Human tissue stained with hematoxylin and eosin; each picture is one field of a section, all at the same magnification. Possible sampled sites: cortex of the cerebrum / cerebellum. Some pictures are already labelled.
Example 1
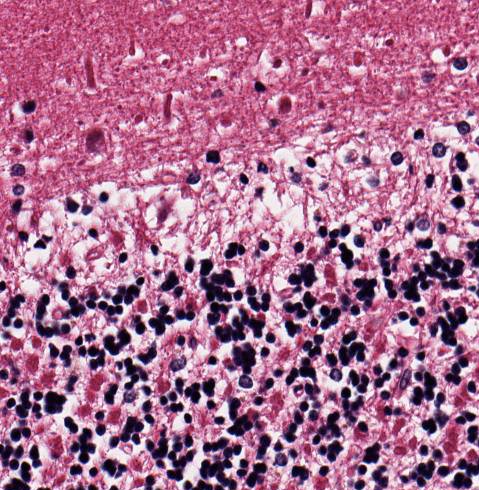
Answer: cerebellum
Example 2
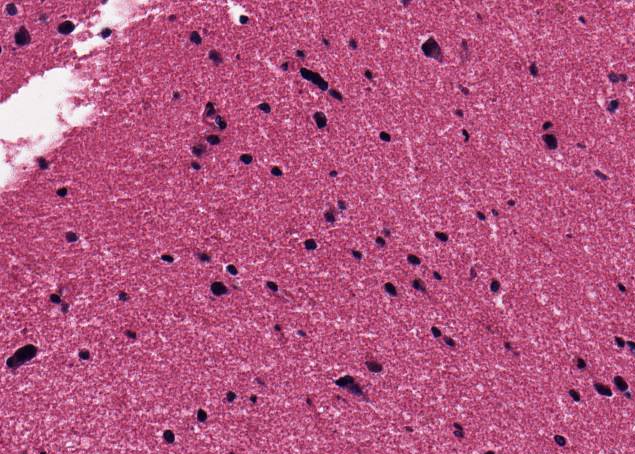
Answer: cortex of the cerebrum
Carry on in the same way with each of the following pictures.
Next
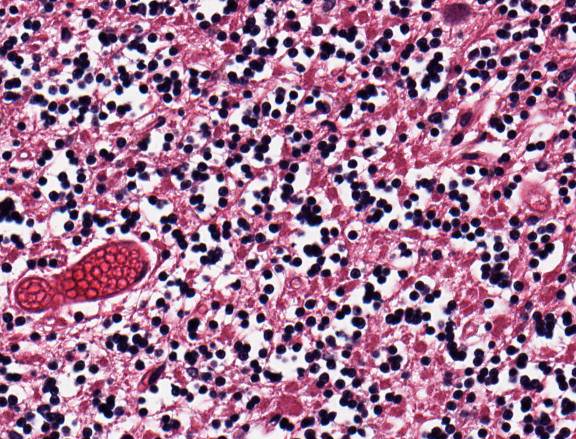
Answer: cerebellum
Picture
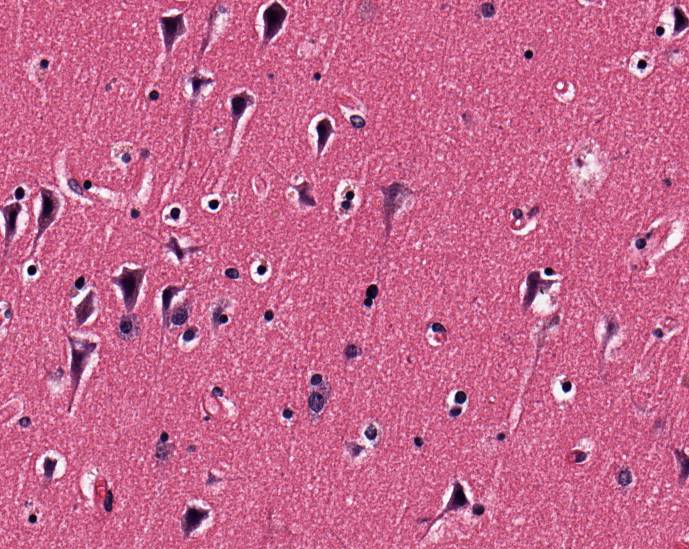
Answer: cortex of the cerebrum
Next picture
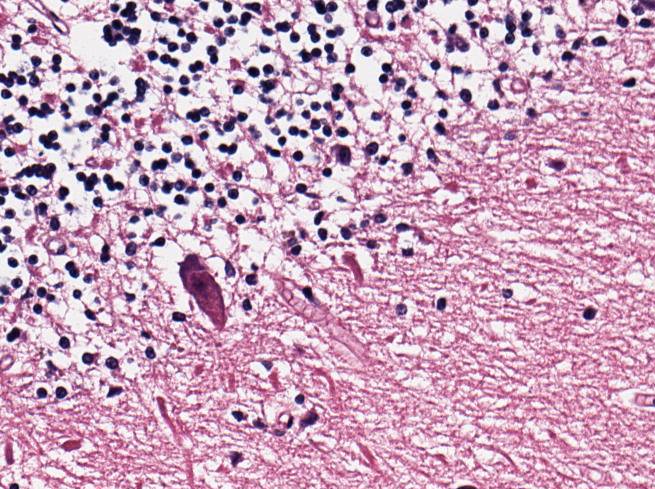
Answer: cerebellum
